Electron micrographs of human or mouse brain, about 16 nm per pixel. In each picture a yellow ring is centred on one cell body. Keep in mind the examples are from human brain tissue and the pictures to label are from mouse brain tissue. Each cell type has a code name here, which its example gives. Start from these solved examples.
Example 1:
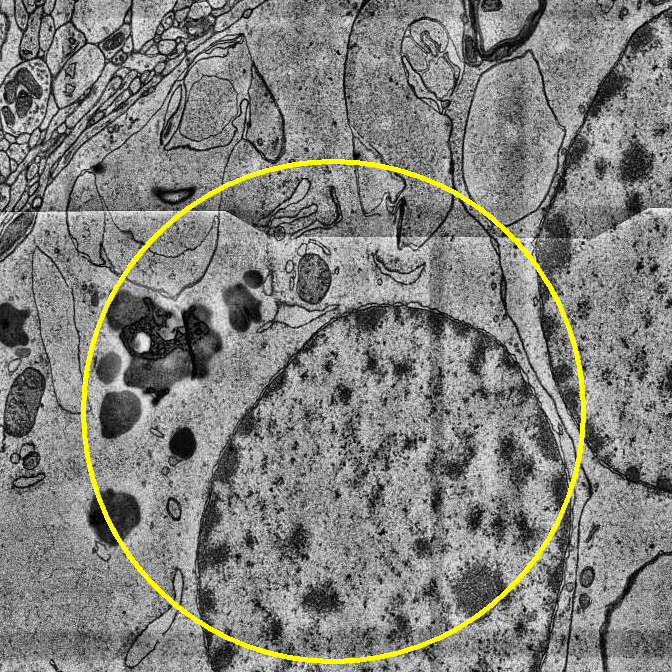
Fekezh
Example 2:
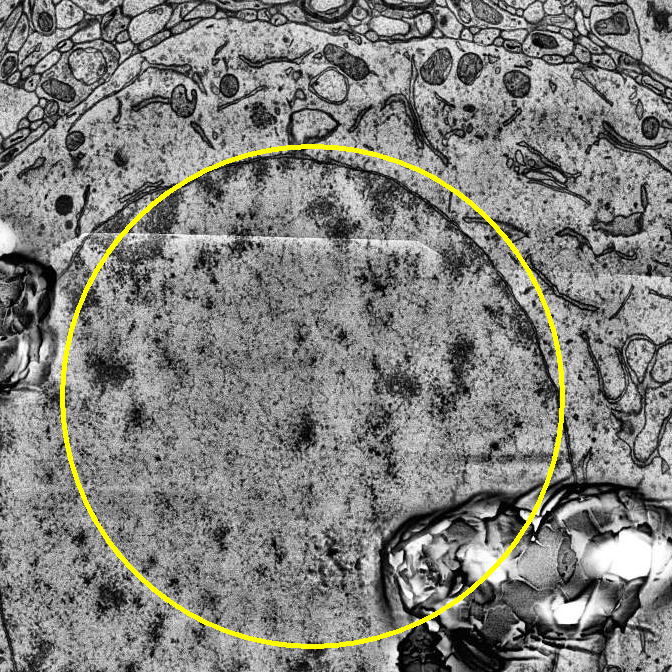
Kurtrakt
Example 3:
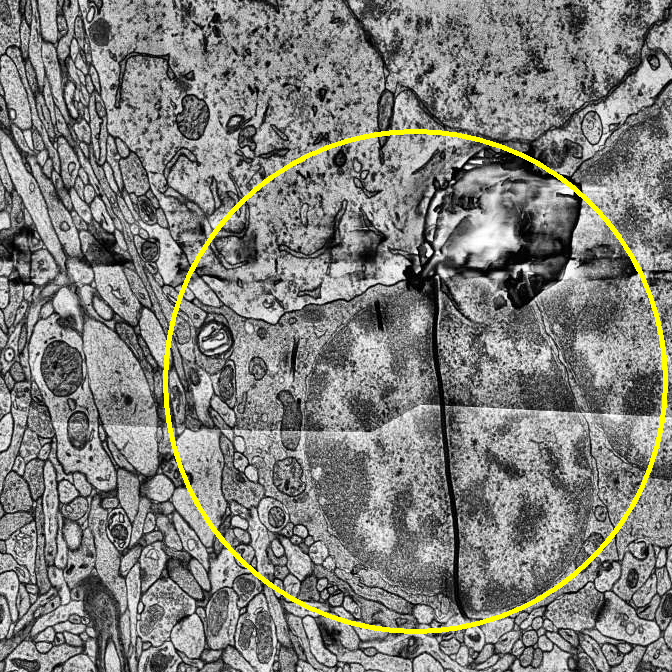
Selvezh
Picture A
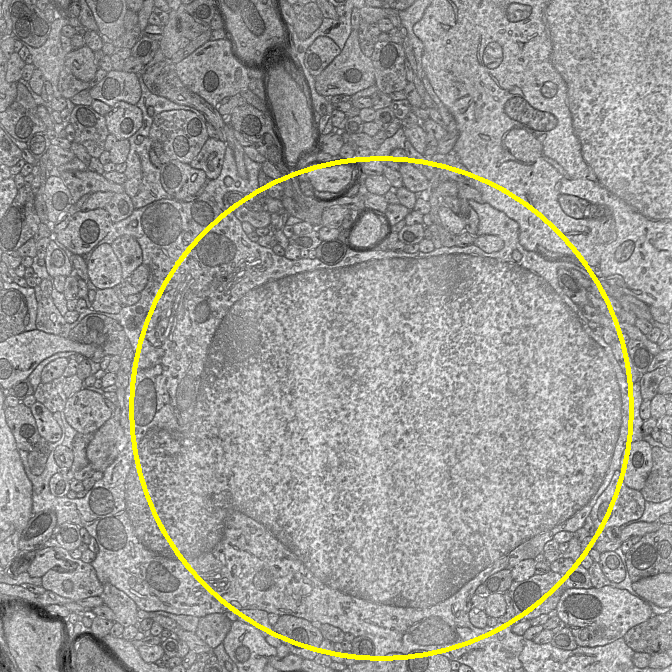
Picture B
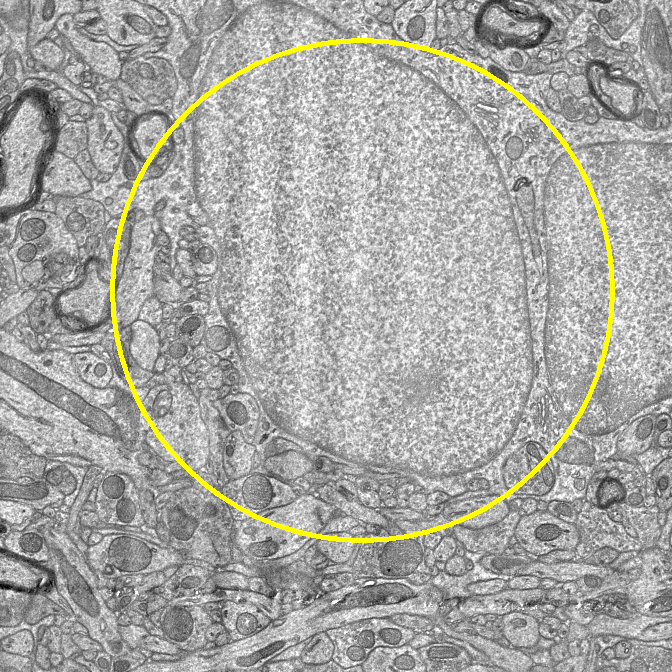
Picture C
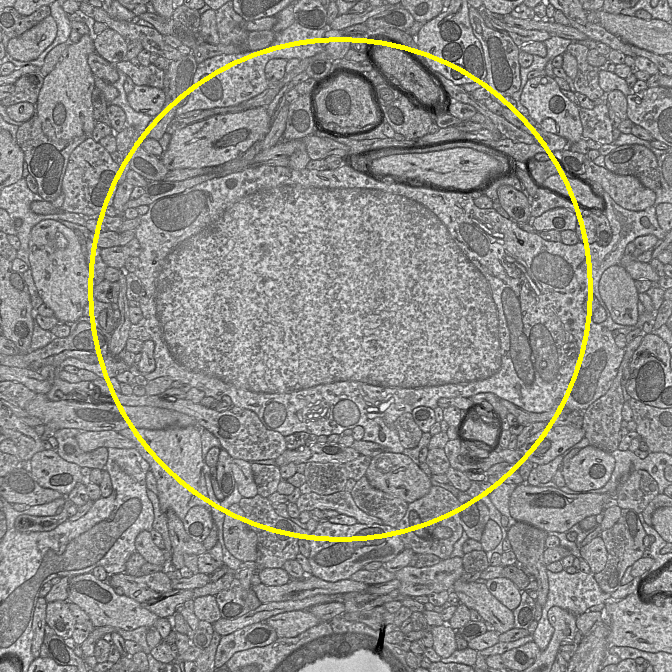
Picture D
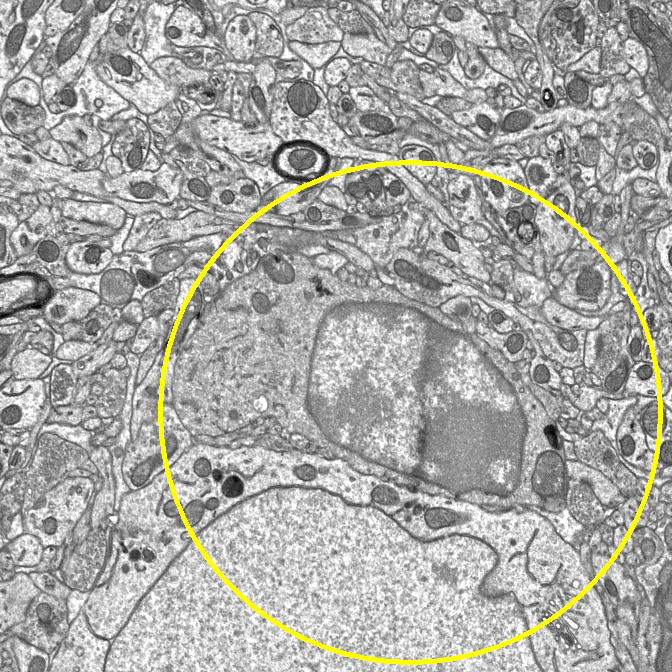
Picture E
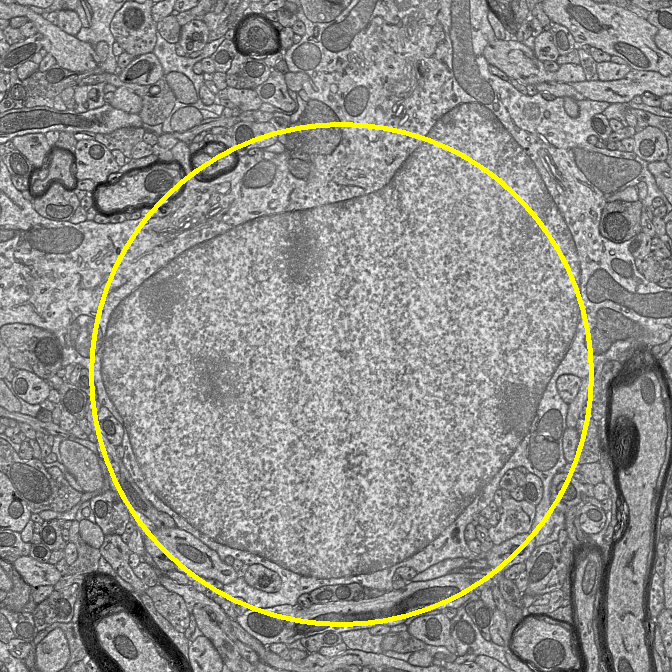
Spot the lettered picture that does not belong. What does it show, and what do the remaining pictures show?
D (Selvezh) is the exception; every other picture is Fekezh.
